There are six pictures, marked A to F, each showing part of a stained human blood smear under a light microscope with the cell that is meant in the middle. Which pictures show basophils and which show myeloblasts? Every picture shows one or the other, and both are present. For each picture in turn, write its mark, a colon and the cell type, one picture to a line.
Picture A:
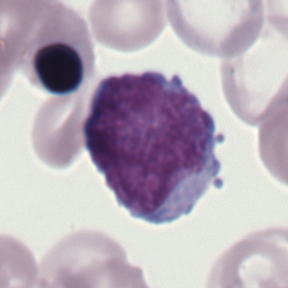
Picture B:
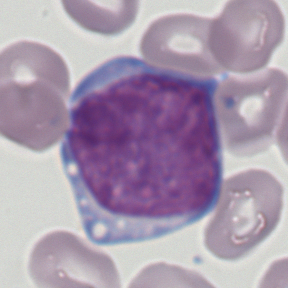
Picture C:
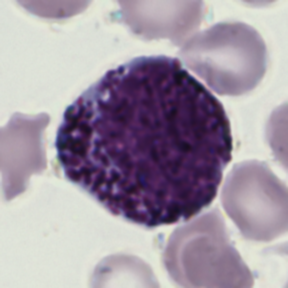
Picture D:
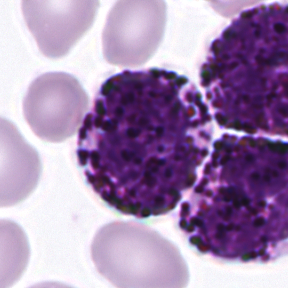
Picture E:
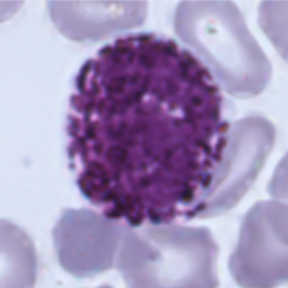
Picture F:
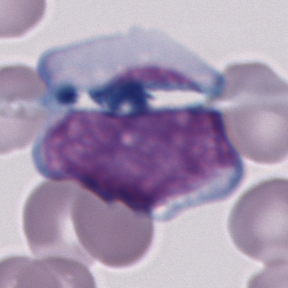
A: myeloblast
B: myeloblast
C: basophil
D: basophil
E: basophil
F: myeloblast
